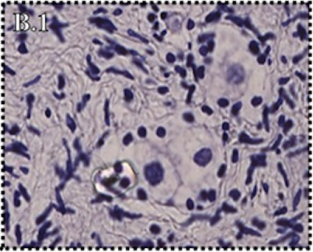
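Ovarian stroma with degenerated preantral follicles. Large oocytes with pale, clear cytoplasm and a dark round nucleus lie loosely among scattered spindle-shaped stromal cells with dark nuclei. Few granulosa cells stay in contact with the oocytes, and the surrounding stroma looks loose with clear spaces.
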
